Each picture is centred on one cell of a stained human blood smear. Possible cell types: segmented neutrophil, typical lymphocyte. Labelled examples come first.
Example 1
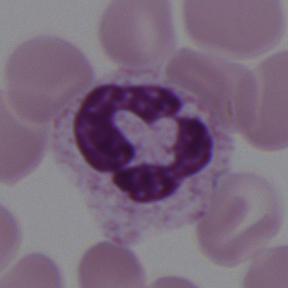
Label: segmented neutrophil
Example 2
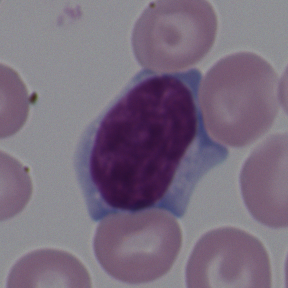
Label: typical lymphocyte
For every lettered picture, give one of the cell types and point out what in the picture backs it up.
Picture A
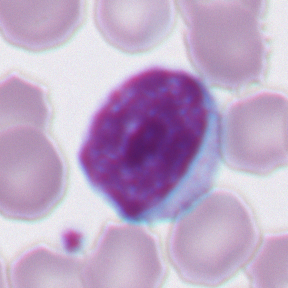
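typical lymphocyte. Evidence: The cytoplasm forms only a narrow rim beside the nucleus.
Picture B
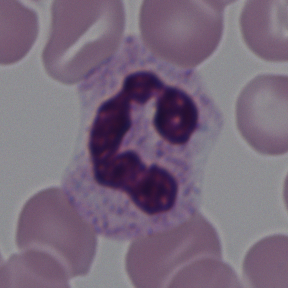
segmented neutrophil. Evidence: The cytoplasm is abundant and pale pinkish-lilac.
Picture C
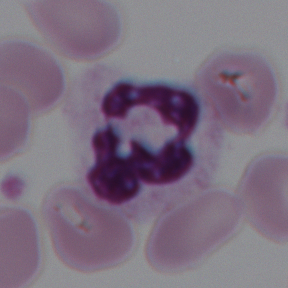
segmented neutrophil. Evidence: The cytoplasm is plentiful and pale pinkish-lilac.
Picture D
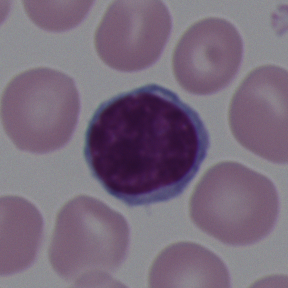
typical lymphocyte. Evidence: The cytoplasm forms only a thin rim around the nucleus.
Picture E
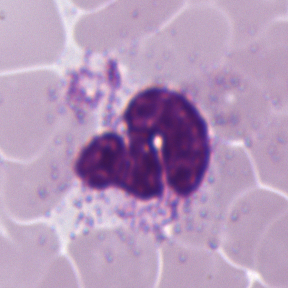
segmented neutrophil. Evidence: The cytoplasm is very pale, almost colourless.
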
